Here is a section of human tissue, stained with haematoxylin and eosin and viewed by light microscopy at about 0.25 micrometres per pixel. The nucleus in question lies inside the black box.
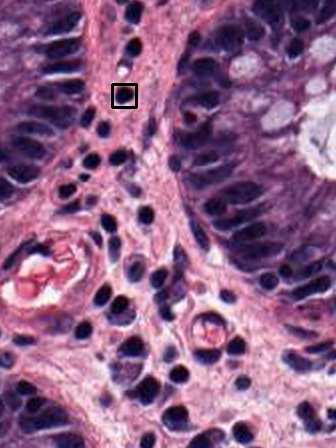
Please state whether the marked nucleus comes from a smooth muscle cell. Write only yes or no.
no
